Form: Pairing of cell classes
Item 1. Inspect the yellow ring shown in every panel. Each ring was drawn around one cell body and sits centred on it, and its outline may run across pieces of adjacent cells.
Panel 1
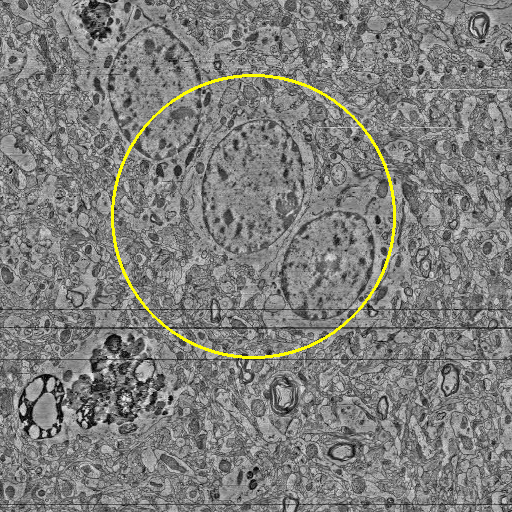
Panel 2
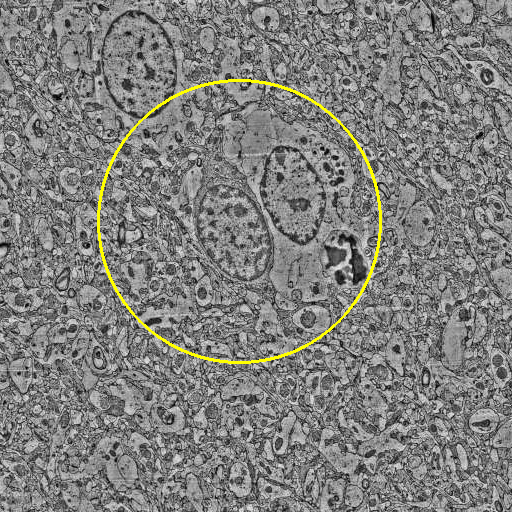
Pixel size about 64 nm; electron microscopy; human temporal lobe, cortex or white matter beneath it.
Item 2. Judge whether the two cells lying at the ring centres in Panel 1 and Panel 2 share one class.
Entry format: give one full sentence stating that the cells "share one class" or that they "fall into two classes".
The cells at the ring centres in Panel 1 and Panel 2 fall into two classes.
